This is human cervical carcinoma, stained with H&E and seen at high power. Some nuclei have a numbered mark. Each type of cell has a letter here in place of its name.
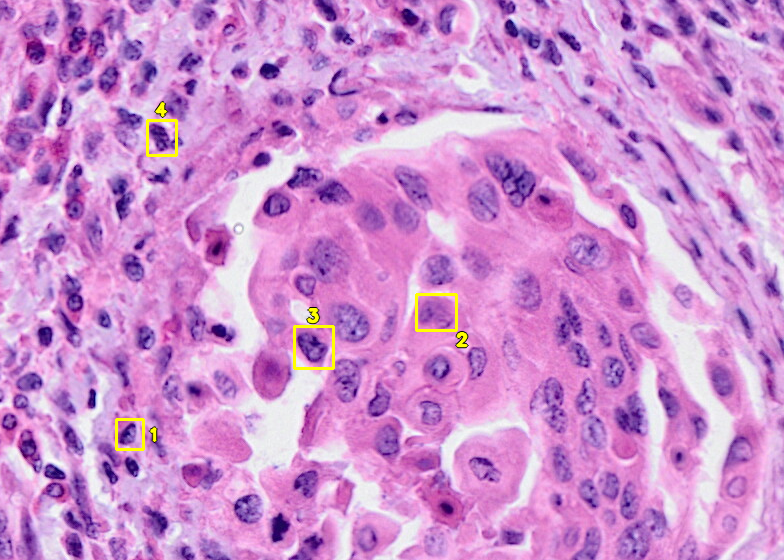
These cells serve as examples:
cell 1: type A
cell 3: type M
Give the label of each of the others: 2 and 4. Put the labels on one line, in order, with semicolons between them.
type M; type A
